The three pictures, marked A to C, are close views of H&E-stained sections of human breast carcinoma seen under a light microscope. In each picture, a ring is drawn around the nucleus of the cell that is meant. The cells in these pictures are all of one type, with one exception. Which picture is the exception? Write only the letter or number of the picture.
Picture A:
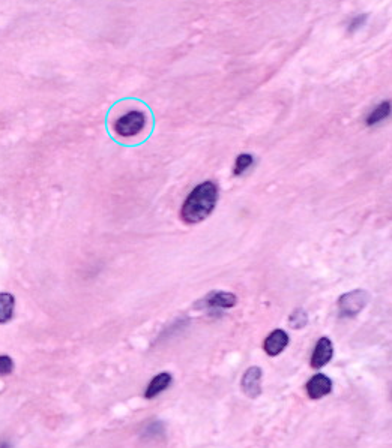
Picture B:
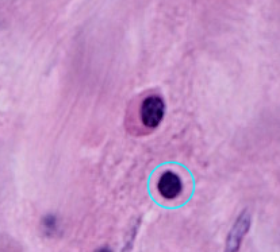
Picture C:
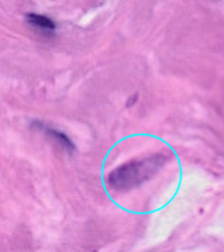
C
